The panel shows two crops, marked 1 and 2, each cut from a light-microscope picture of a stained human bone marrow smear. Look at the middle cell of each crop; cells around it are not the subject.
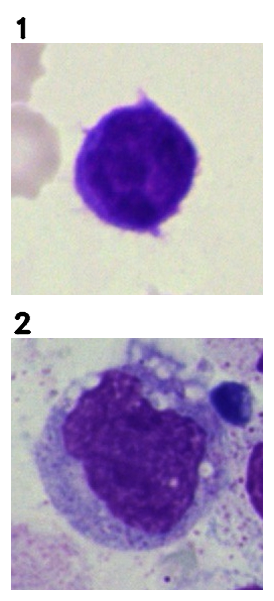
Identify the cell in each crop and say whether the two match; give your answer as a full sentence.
No, as for crop 1, it shows a blast, and crop 2 shows a monocyte.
